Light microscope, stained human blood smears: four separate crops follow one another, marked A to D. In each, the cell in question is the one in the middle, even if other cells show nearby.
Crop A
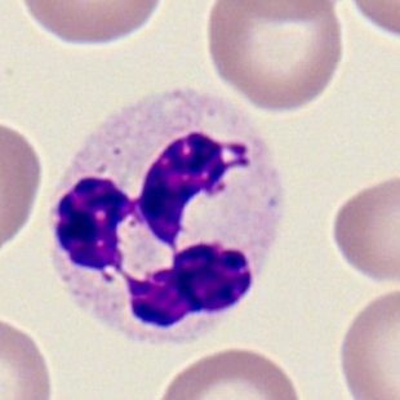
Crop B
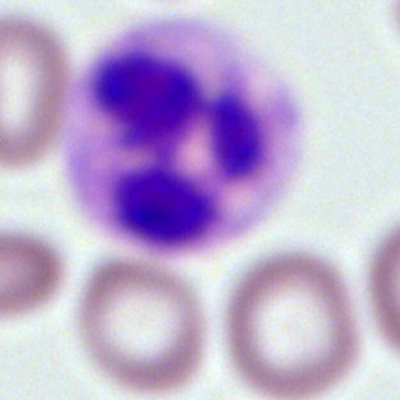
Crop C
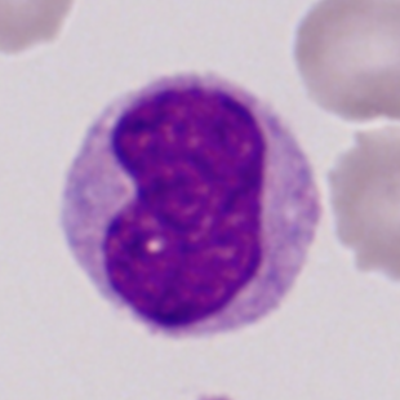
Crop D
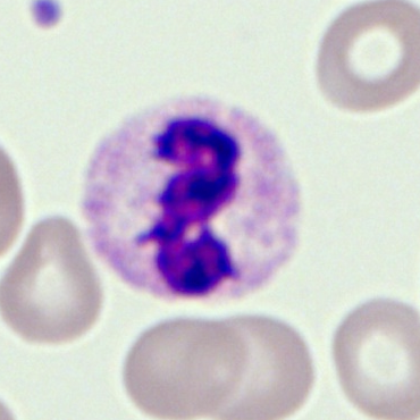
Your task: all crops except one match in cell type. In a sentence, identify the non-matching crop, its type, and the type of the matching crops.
The odd one out is crop C, a monocyte, and all other crops show segmented neutrophils.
